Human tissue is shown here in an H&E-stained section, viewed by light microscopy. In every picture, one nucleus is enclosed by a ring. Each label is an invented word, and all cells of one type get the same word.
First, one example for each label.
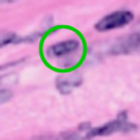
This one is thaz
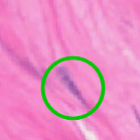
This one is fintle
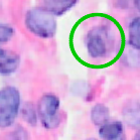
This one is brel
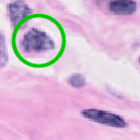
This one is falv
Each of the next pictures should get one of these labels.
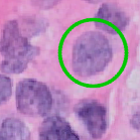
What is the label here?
brel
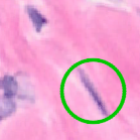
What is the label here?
fintle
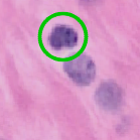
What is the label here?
falv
